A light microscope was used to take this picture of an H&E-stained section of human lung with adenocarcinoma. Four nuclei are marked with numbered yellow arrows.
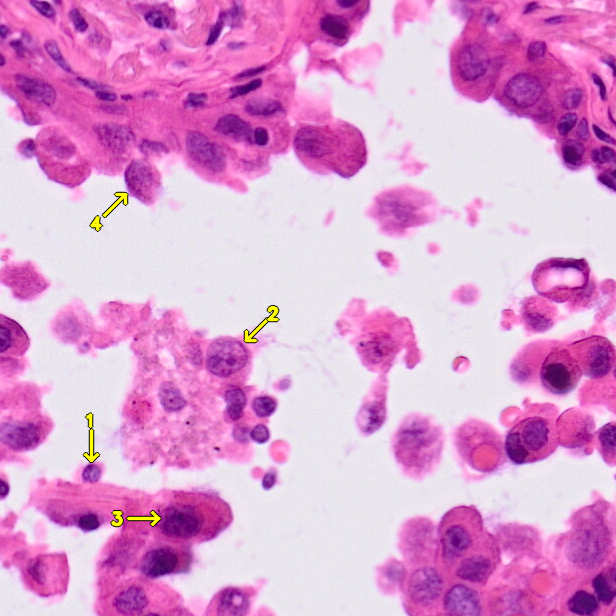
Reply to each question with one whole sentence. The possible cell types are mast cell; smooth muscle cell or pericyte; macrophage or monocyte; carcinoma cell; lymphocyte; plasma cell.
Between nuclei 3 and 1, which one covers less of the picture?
Number 1 is smaller, since number 3 takes up about 4 times as much area.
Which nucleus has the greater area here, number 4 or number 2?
It is nucleus 2, which covers about 1.5 times the area of nucleus 4.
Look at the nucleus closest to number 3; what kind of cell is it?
The cell nearest to number 3 is a carcinoma cell.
